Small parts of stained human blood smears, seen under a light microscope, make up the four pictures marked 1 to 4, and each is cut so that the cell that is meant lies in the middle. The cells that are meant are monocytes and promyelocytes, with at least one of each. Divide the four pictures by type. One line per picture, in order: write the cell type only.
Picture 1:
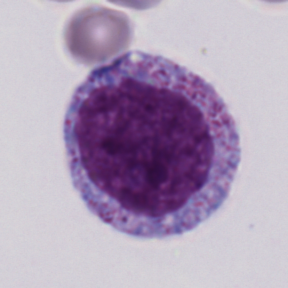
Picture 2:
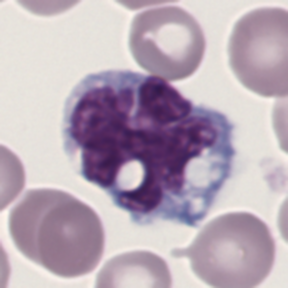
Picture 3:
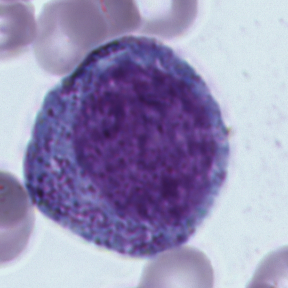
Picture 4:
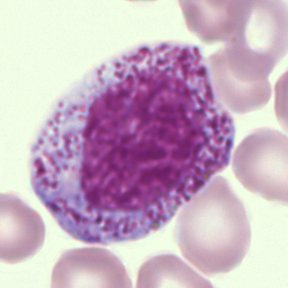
promyelocyte
monocyte
promyelocyte
promyelocyte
